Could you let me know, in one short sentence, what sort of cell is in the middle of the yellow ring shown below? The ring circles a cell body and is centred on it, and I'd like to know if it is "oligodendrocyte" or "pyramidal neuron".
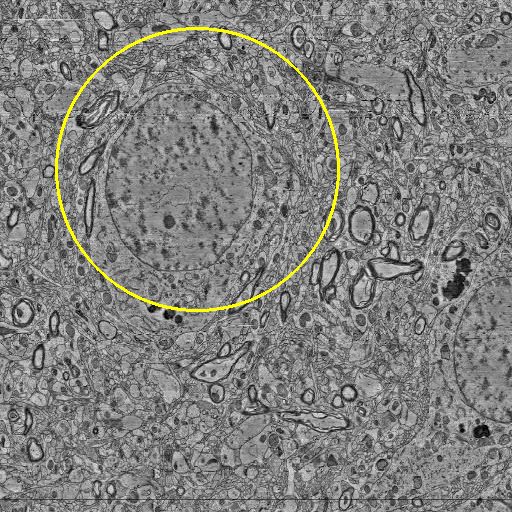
The ring circles the cell body of a pyramidal neuron.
